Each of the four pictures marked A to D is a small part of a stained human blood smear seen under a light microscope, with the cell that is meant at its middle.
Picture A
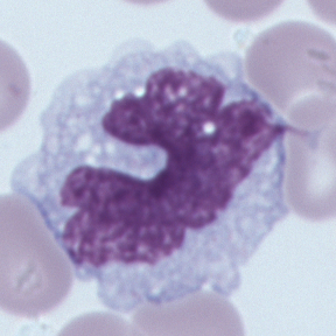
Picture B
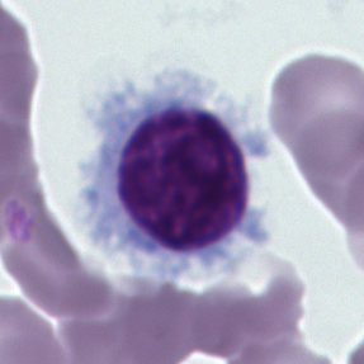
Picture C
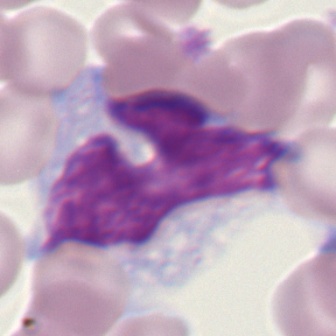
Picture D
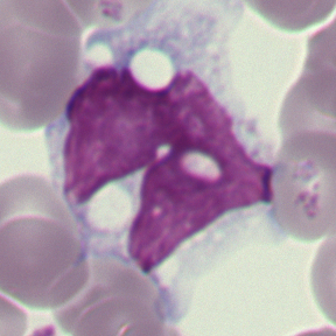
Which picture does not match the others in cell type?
B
